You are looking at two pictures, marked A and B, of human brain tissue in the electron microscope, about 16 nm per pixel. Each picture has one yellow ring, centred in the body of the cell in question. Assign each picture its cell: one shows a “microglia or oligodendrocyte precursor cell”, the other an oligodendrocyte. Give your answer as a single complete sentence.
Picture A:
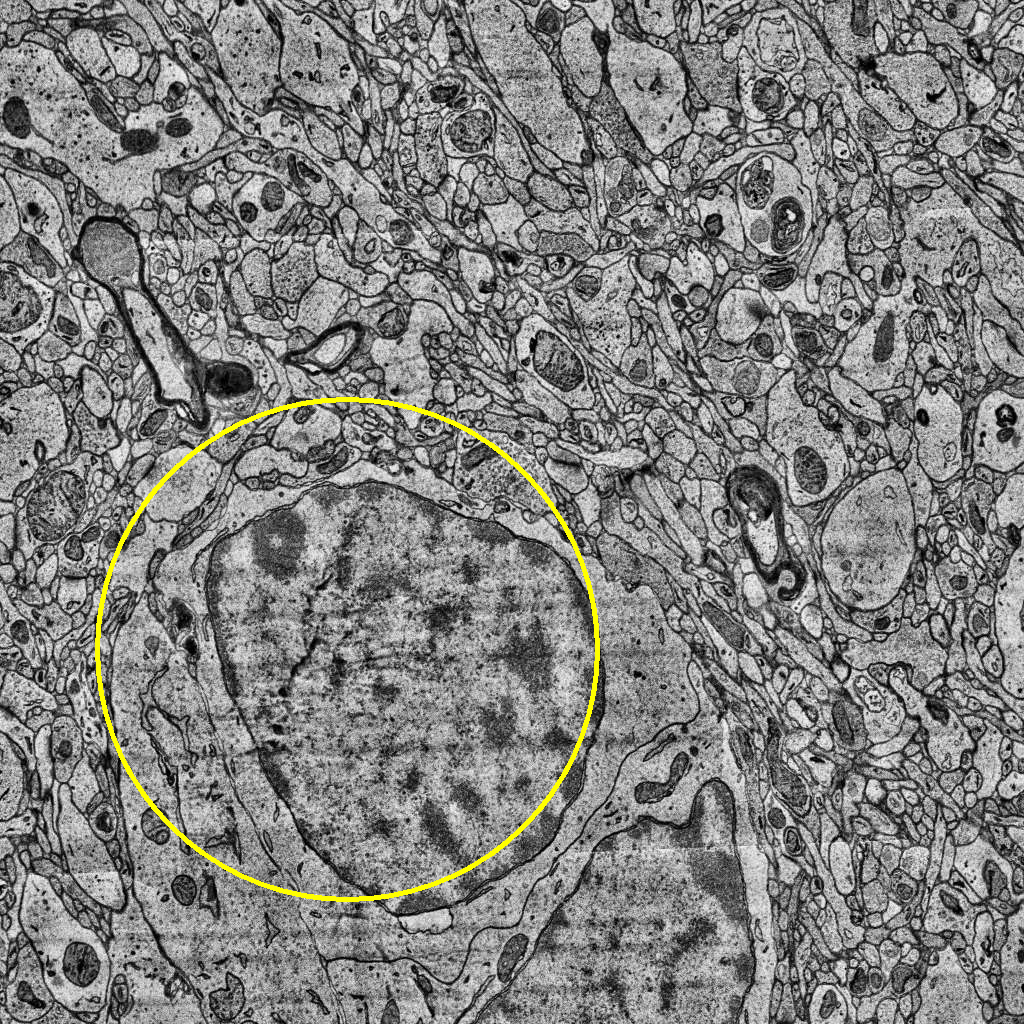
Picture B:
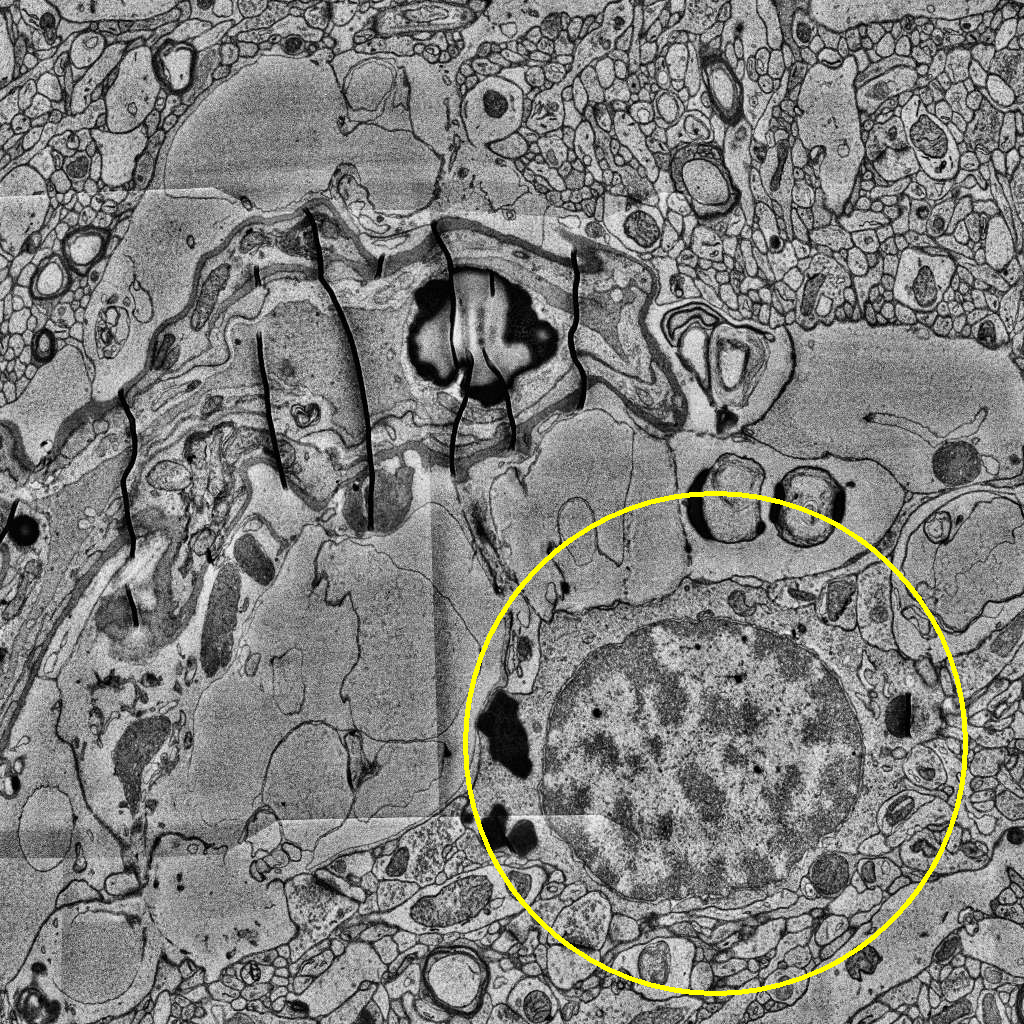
Picture A is of a “microglia or oligodendrocyte precursor cell”, and picture B is of an oligodendrocyte.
